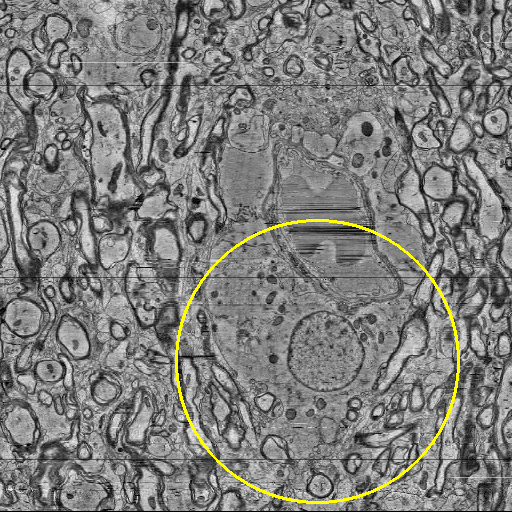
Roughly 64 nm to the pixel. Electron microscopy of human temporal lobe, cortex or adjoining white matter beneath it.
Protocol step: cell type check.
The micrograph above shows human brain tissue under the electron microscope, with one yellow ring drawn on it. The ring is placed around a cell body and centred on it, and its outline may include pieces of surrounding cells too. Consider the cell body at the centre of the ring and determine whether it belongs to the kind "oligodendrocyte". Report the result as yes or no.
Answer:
no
